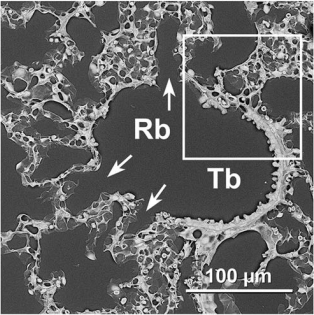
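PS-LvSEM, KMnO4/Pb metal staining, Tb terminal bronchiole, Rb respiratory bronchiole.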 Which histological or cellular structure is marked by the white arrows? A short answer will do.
Openings.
